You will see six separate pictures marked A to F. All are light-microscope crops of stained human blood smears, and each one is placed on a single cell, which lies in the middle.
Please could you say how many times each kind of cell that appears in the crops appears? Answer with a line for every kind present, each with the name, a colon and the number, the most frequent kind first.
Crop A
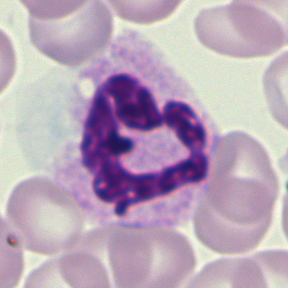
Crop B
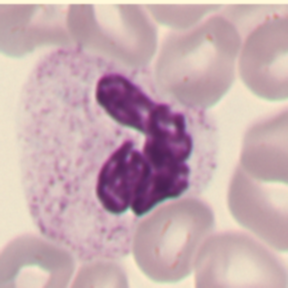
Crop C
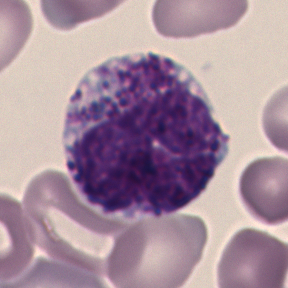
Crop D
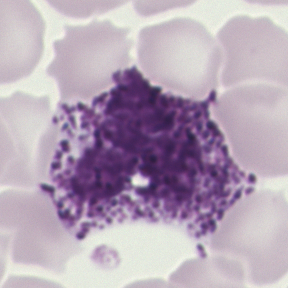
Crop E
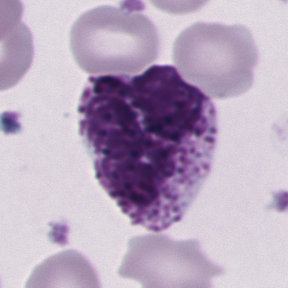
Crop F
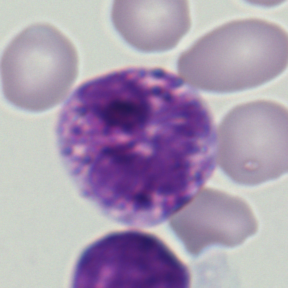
basophil: 4
segmented neutrophil: 2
